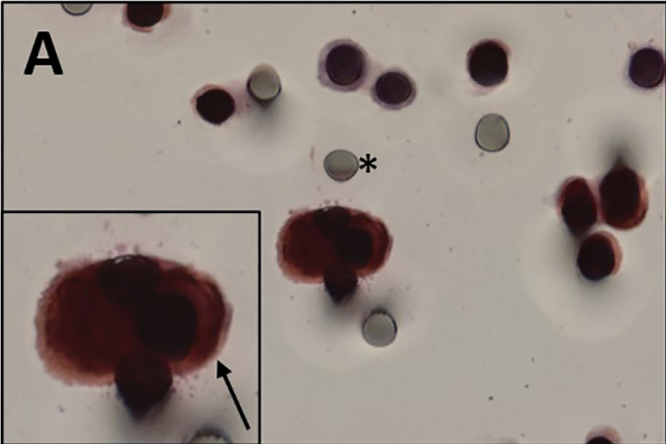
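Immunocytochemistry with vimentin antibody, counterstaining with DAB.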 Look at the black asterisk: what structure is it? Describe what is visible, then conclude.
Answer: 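The asterisk lies beside a small round grey disc. Identical grey round discs of uniform size are scattered over the background. The discs lie among cells without cell content.
Hence: membrane spots.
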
